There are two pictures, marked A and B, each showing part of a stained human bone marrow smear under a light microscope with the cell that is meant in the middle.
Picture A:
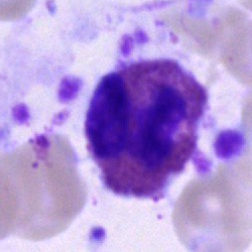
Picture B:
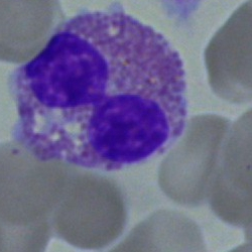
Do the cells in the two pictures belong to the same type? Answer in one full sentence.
Yes, both are eosinophils.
